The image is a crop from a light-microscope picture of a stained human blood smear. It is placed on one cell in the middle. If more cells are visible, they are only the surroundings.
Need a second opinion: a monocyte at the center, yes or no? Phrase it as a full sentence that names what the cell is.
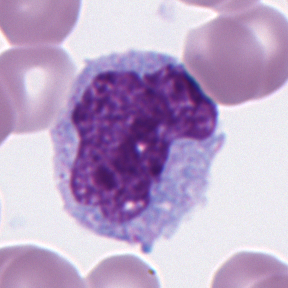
Yes, the cell positioned in the middle is a monocyte.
